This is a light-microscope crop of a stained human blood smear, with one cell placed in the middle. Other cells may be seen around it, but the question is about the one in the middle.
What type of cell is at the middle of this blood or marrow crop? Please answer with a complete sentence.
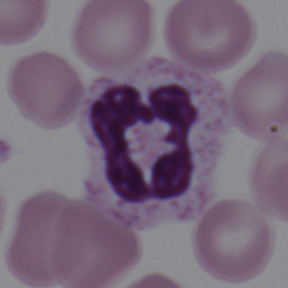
The middle of this crop holds a segmented neutrophil.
